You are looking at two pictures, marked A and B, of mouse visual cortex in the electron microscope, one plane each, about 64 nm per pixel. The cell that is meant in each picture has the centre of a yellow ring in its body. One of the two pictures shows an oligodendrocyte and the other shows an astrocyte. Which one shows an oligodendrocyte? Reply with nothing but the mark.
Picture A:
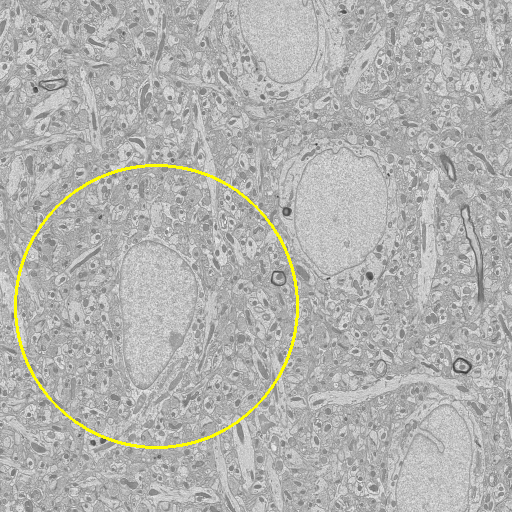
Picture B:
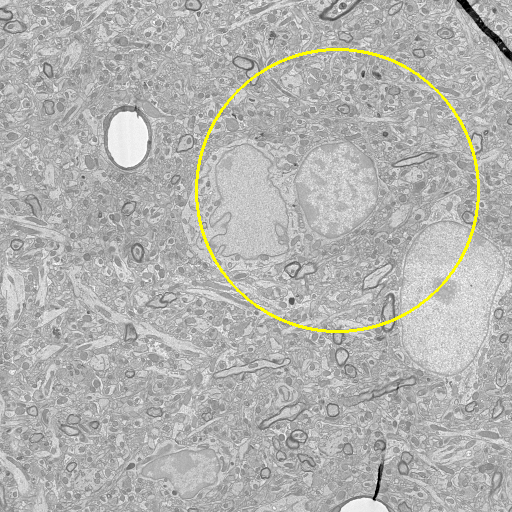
B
